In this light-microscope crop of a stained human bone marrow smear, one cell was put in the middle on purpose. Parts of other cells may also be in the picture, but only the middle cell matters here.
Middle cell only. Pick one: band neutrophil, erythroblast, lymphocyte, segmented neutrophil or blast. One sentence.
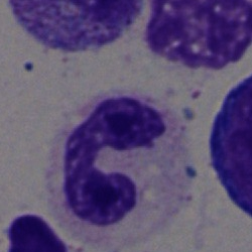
The central cell shown in this smear crop is a segmented neutrophil.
